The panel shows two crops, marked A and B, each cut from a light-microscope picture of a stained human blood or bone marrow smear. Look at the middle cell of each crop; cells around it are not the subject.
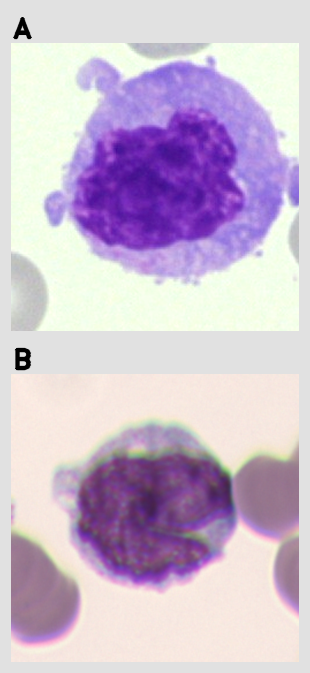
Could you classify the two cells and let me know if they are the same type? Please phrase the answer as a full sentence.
Yes, in both crops, monocytes are the cells at the middle.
